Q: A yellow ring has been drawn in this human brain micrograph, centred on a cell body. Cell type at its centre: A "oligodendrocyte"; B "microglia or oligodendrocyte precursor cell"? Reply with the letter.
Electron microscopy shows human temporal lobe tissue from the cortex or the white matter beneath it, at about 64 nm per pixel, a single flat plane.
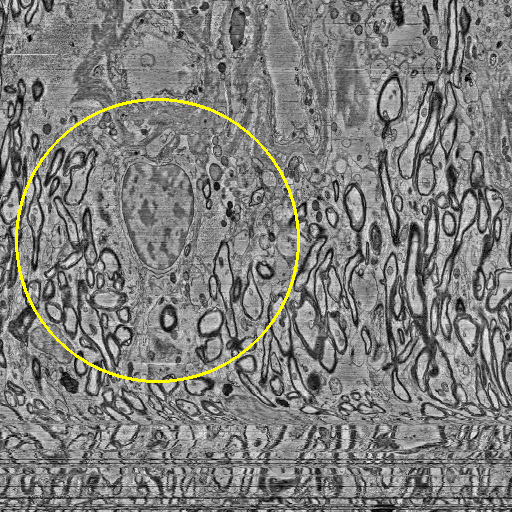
B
